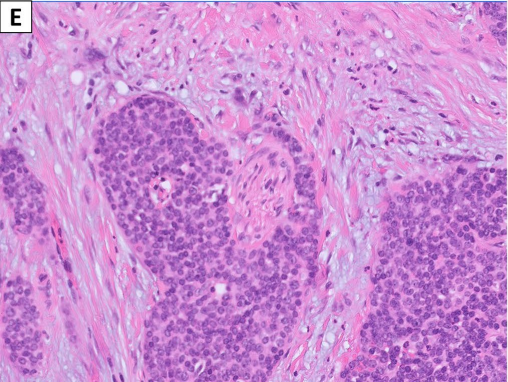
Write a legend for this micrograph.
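Here nests of carcinoma cells lie in a loose pink fibrous stroma next to a small nerve. The nerve is a pale pink bundle with wavy, slender spindle-shaped nuclei in the center of the field. Tumor nests made of crowded cells with round, dark nuclei press against and partly surround this bundle. The stroma around them holds scattered spindle cells and a few small vacuoles. Tumor growing along and around a nerve like this is perineural invasion.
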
